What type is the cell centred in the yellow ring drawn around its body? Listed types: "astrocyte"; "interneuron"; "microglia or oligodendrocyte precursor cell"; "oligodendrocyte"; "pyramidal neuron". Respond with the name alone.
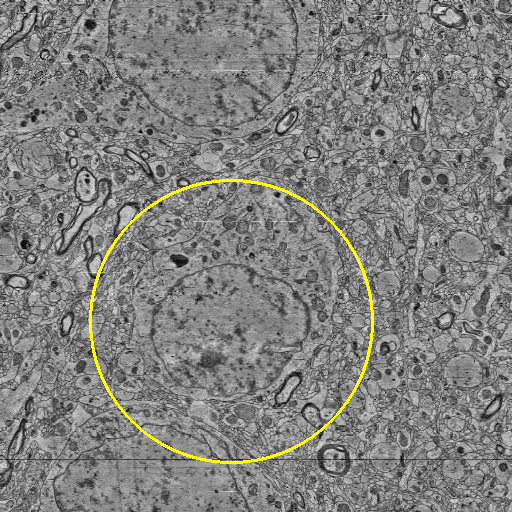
interneuron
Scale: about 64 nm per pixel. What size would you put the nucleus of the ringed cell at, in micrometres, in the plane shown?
The ringed cell's nucleus measures approximately 11 by 9 micrometres in this plane.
